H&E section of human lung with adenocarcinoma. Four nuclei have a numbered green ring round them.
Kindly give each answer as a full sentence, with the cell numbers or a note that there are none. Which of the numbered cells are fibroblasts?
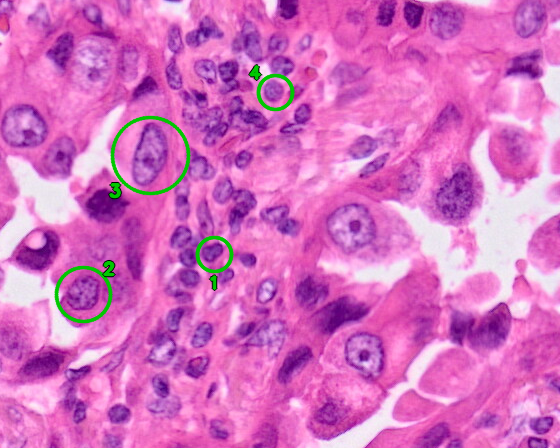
The numbered cells are not fibroblasts, not even one of them.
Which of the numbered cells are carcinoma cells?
The cells tagged 2 and 3 are carcinoma cells in this tissue section.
